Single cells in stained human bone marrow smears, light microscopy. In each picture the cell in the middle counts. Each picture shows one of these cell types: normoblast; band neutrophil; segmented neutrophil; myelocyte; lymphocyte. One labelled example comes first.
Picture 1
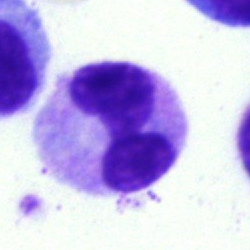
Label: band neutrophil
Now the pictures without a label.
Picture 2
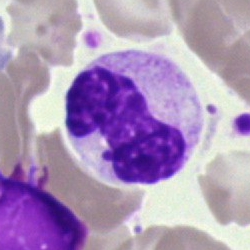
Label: segmented neutrophil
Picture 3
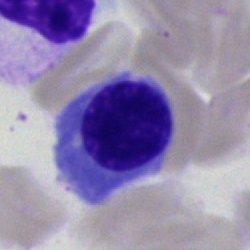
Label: normoblast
